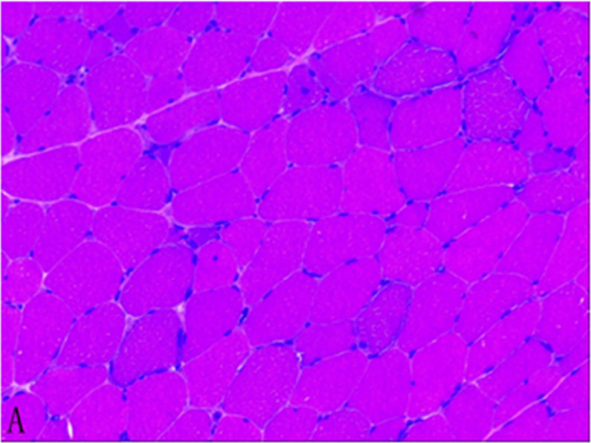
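Skeletal muscle cut in cross-section, made up of polygonal muscle fibers with pink cytoplasm and small dark purple nuclei at their edges. The fibers vary in size, with some smaller, rounded or angular fibers lying among larger ones. A few fibers have a finely granular or speckled look to their cytoplasm.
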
